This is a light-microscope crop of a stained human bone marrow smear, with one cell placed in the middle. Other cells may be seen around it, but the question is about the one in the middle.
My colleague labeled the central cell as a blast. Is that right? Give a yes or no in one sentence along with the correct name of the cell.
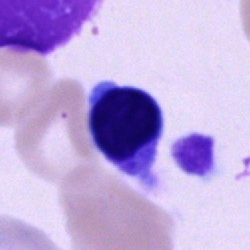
No, the cell under consideration is a lymphocyte instead of a blast.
